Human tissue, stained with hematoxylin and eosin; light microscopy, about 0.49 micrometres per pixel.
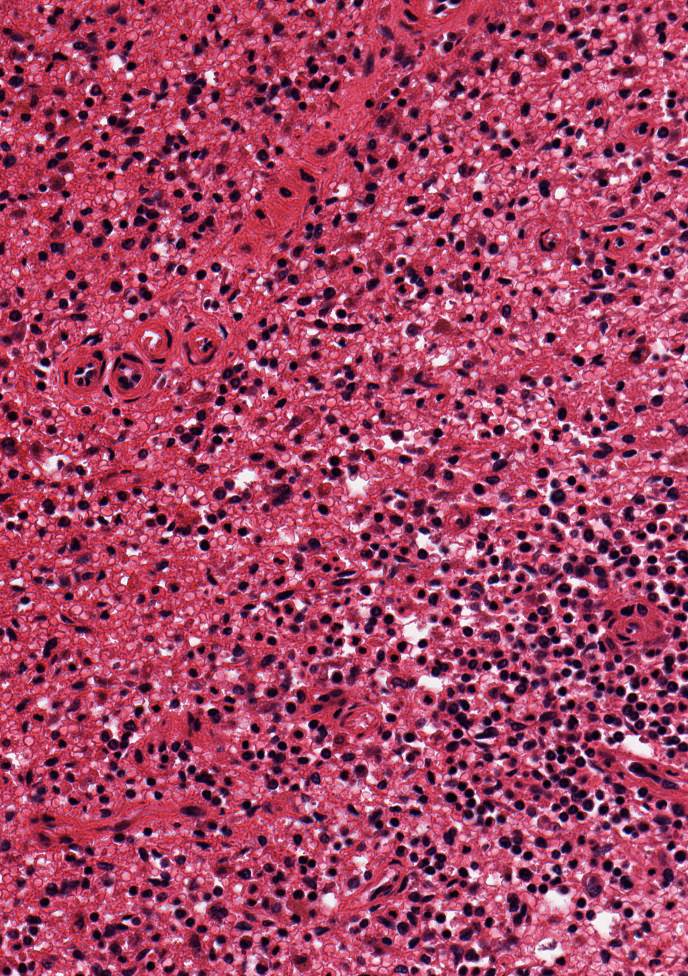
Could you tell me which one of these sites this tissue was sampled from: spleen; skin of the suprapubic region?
spleen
